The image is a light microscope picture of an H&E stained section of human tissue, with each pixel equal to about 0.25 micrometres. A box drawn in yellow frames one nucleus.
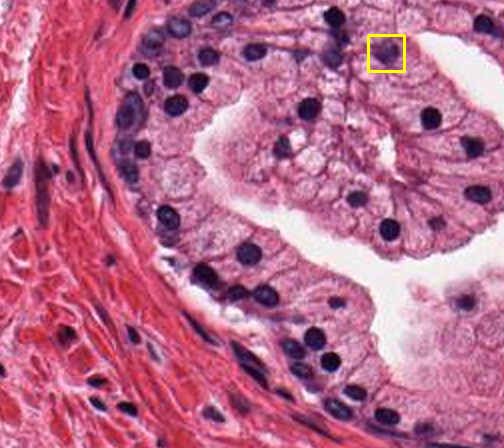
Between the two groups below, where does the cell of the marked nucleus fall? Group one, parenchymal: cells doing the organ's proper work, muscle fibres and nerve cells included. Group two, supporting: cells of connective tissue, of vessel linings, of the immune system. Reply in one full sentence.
The marked nucleus has as its cell a parenchymal cell, namely a prostate gland luminal cell.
